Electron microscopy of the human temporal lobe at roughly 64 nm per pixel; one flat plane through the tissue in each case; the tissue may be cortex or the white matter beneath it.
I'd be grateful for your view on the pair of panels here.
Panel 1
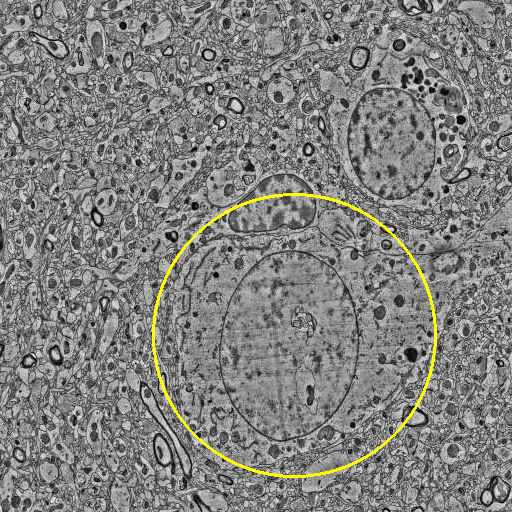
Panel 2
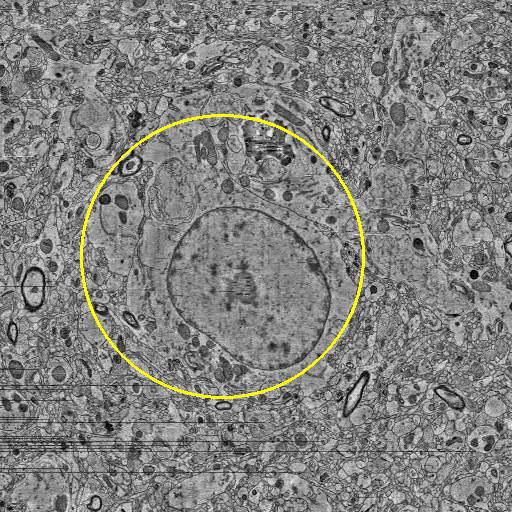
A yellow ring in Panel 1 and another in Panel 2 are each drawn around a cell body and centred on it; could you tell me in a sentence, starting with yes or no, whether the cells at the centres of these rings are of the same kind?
No, they are two kinds of cell.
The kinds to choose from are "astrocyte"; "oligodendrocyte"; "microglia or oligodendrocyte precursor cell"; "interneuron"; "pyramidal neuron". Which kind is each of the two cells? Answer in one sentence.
Of the two, the first cell is a pyramidal neuron and the second cell is an astrocyte.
